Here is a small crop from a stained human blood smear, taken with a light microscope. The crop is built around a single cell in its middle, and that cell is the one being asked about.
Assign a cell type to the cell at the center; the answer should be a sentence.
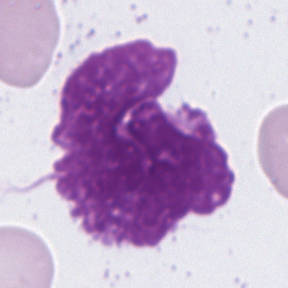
The cell marked by its central position in the crop is a smudge cell.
